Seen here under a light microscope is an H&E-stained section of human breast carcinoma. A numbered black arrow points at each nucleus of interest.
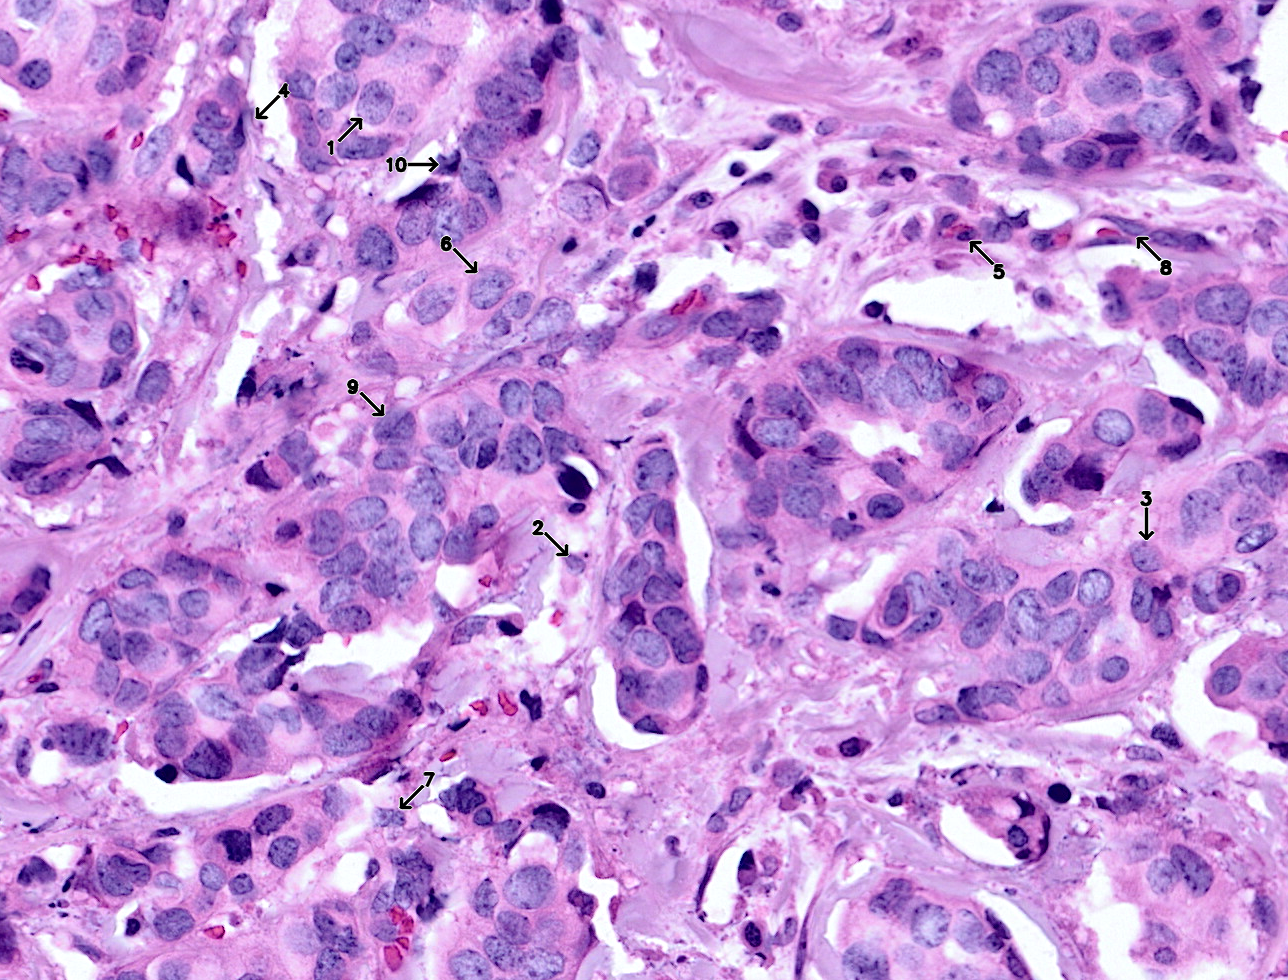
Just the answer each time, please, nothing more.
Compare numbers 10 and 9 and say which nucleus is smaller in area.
10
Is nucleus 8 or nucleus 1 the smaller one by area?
8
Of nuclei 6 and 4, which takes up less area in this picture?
4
